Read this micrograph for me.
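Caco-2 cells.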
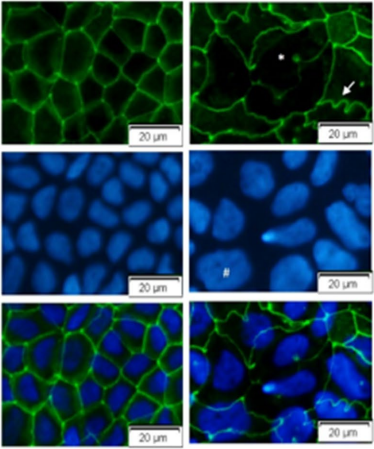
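These are cultured epithelial cells in a monolayer, their borders outlined by thin green lines and their nuclei shown in blue. In the left column the green lines form a regular polygonal network, a chicken-wire pattern, around small cells of fairly even size, each holding one oval nucleus. In the right column the cells are much more varied and several are far larger, with larger blue nuclei. The merged images show each blue nucleus sitting within a green-bordered cell in both columns.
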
